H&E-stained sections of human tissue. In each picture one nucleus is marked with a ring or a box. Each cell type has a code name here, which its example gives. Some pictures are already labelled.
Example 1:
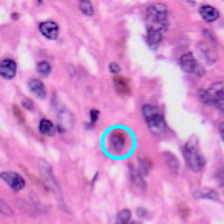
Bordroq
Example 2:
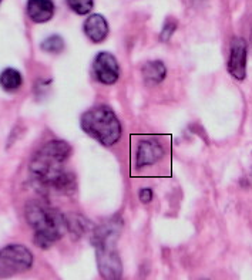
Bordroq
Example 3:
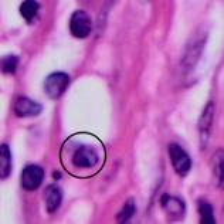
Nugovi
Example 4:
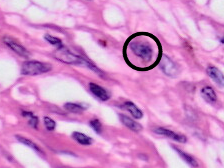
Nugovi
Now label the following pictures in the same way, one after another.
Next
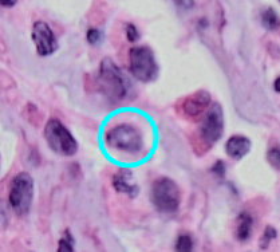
Bordroq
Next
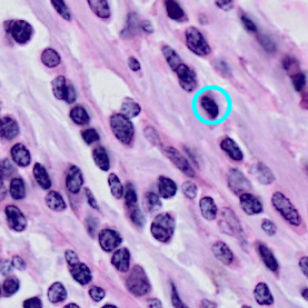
Nugovi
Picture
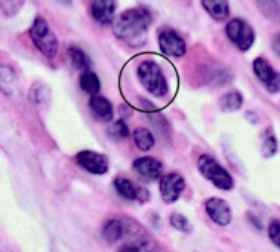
Nugovi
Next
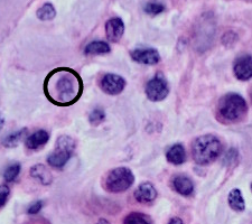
Bordroq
